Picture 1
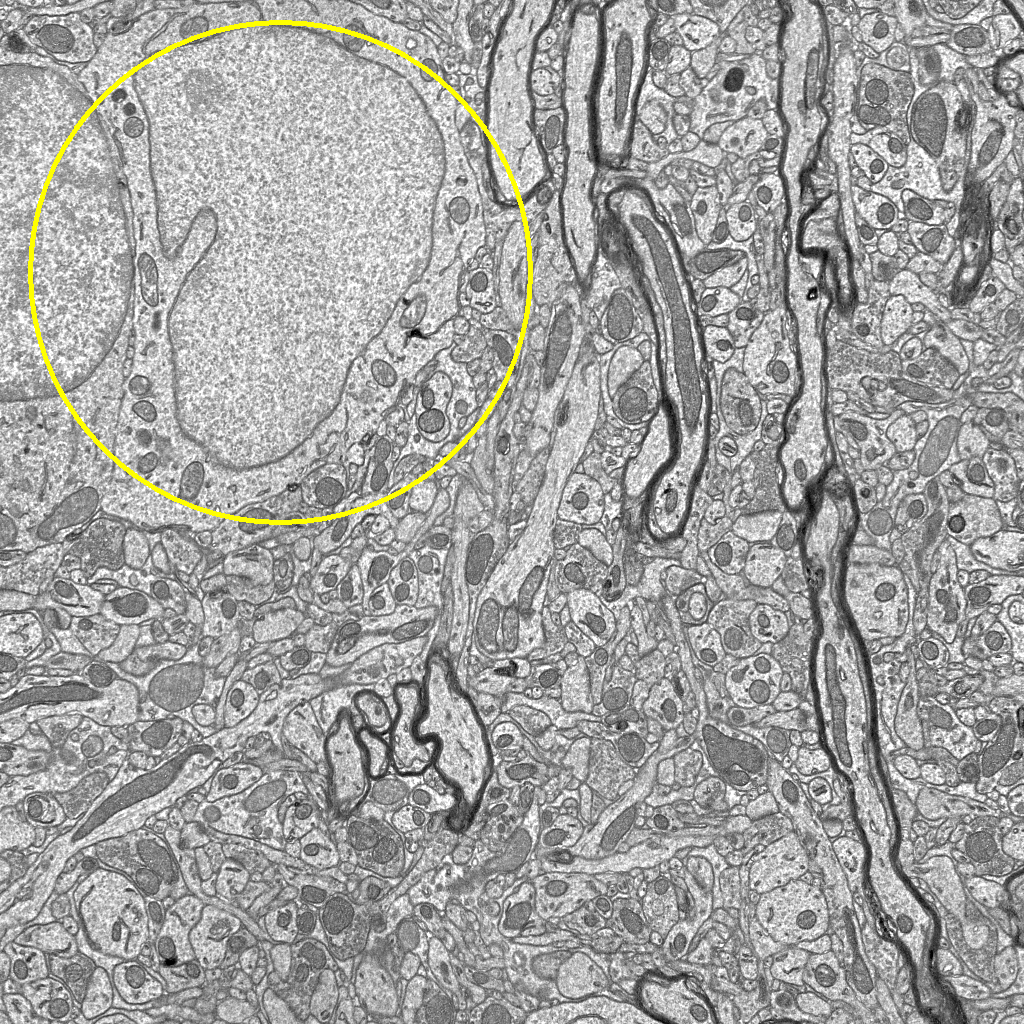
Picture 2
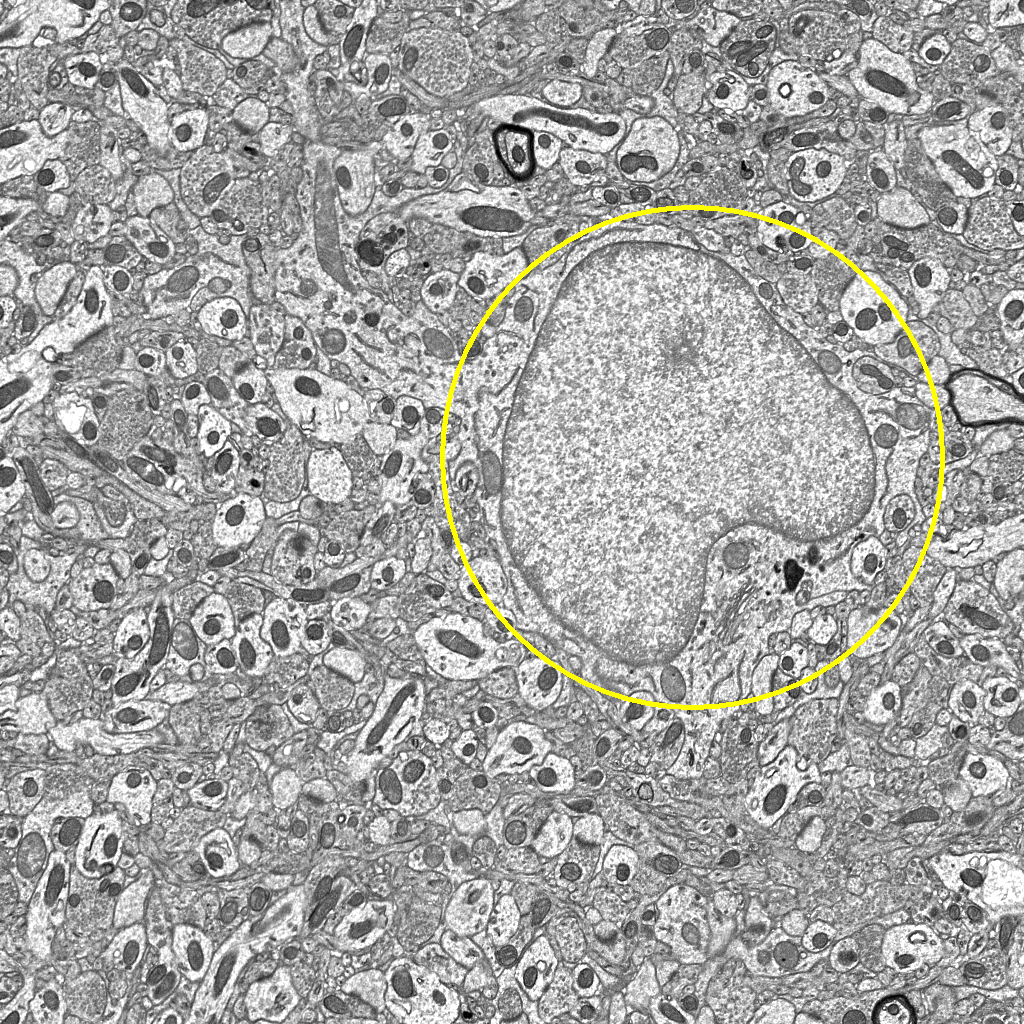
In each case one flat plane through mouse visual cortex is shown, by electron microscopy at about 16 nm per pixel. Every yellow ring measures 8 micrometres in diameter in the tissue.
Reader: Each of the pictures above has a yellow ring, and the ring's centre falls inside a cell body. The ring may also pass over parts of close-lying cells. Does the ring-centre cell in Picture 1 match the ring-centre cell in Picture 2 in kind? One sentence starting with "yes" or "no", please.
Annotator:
No, Picture 1 and Picture 2 show ring-centre cells of two kinds.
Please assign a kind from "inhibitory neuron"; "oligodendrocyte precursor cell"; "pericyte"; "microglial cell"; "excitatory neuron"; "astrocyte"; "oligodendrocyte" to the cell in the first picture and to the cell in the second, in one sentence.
So the first is an excitatory neuron, the second an astrocyte.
